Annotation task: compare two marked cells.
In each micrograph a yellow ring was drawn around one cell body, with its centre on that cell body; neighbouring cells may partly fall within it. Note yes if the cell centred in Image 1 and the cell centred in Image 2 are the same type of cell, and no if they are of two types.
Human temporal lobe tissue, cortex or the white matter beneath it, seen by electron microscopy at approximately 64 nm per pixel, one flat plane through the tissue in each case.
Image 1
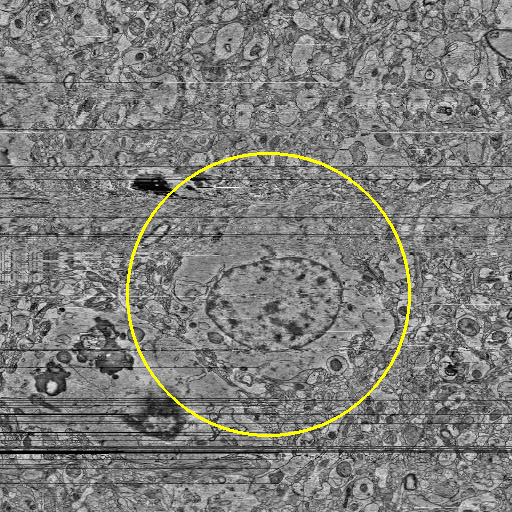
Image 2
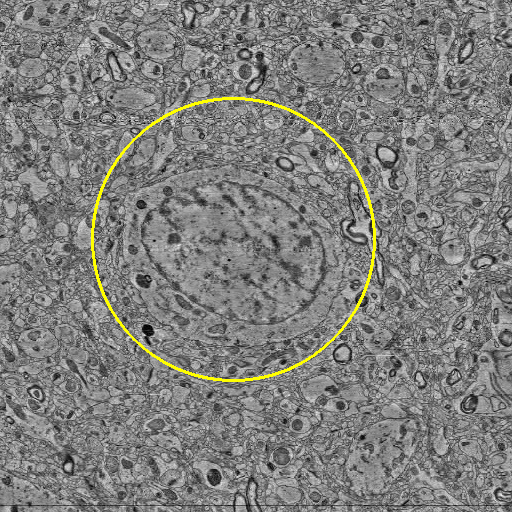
no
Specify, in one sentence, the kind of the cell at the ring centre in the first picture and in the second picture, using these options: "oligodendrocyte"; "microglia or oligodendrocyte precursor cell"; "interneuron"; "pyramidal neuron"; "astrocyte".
So the first is an astrocyte, the second an interneuron.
